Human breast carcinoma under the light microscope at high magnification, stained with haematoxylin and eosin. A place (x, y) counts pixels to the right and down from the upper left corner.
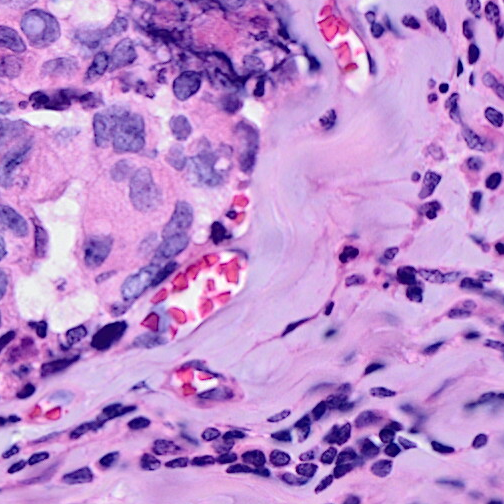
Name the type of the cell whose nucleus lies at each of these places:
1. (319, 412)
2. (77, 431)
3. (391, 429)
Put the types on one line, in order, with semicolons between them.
lymphocyte; endothelial cell; lymphocyte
